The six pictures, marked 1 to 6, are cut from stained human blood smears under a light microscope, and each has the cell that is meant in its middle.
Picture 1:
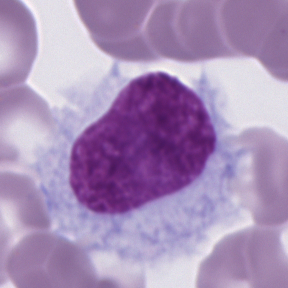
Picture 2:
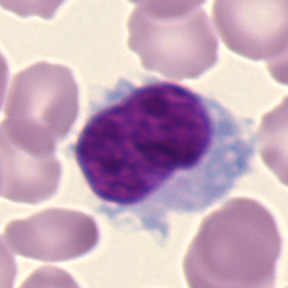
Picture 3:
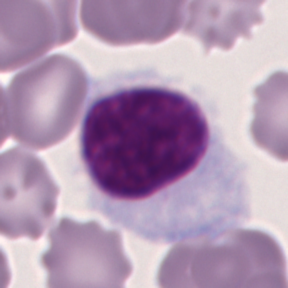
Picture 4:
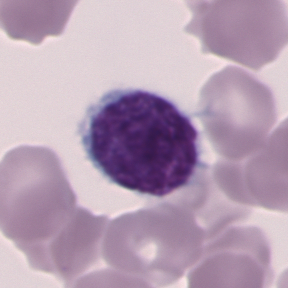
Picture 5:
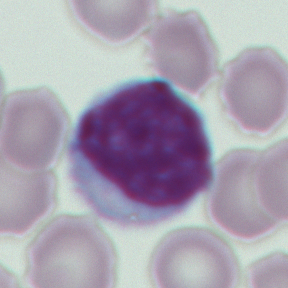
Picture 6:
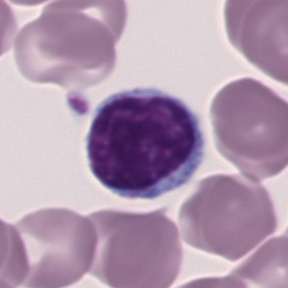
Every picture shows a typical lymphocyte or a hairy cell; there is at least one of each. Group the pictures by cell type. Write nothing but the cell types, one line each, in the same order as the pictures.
hairy cell
hairy cell
hairy cell
hairy cell
typical lymphocyte
typical lymphocyte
